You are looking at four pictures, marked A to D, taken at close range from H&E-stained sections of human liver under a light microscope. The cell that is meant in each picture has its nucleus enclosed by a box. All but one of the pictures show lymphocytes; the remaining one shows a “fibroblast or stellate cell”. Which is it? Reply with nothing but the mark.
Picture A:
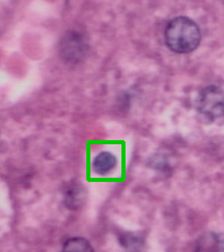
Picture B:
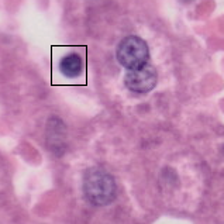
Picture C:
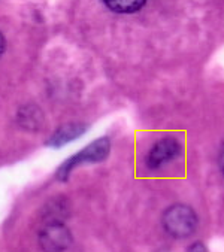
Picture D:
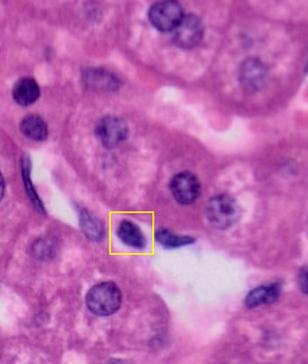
C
